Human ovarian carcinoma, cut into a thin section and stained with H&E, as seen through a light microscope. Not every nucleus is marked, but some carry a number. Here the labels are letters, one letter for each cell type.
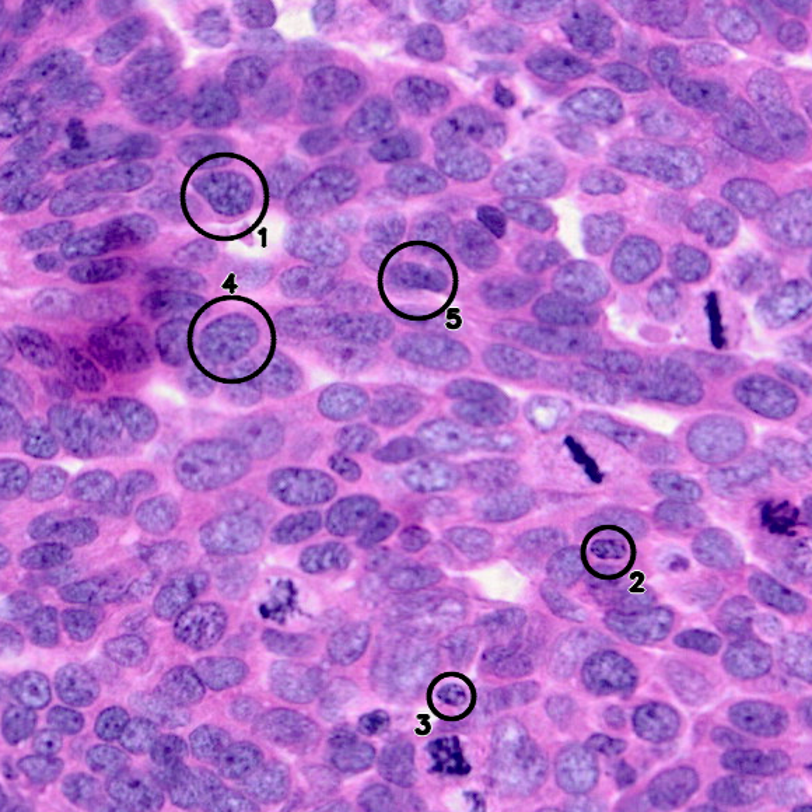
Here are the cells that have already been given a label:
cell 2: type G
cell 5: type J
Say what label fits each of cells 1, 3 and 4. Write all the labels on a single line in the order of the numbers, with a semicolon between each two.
type J; type G; type J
